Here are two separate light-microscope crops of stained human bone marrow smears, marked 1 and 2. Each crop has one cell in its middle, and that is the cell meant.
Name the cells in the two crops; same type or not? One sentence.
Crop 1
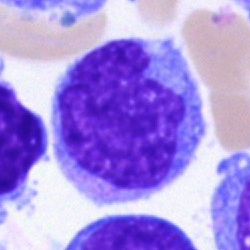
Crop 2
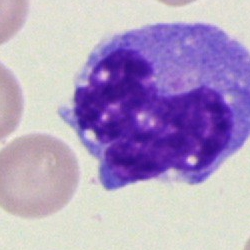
Yes, in both crops, monocytes are the cells at the middle.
